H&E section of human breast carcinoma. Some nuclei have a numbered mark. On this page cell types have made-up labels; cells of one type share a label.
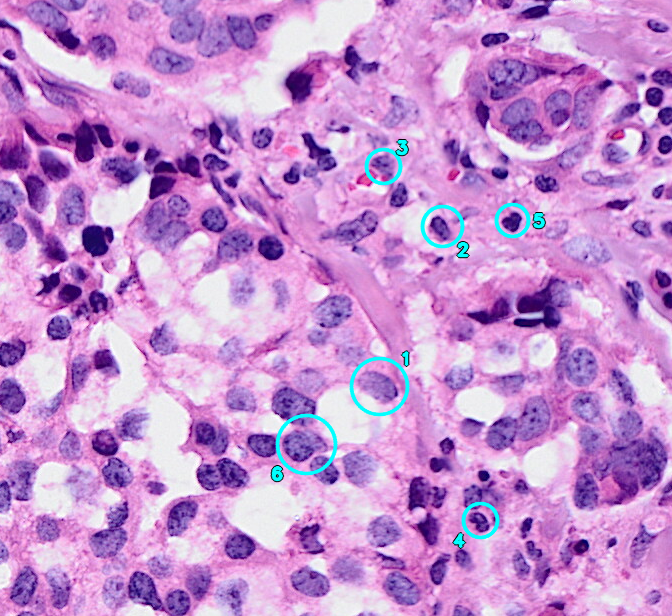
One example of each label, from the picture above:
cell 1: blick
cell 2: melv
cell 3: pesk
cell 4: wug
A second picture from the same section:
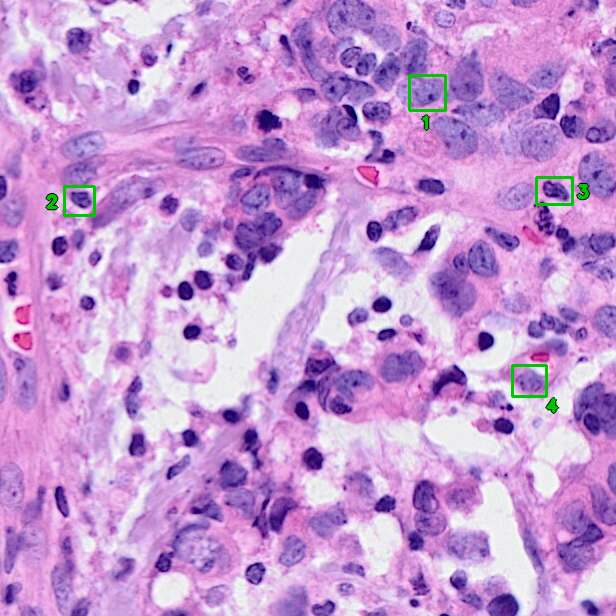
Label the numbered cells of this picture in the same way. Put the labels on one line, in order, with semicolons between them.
blick; wug; wug; pesk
